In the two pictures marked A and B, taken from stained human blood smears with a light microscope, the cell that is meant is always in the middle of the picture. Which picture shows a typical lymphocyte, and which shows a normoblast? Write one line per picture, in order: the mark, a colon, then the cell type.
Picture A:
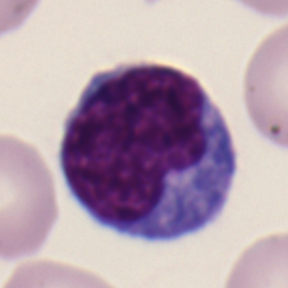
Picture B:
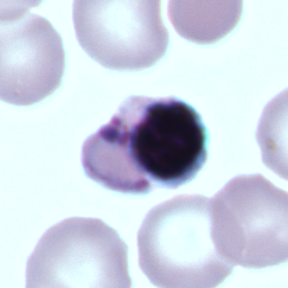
A: typical lymphocyte
B: normoblast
